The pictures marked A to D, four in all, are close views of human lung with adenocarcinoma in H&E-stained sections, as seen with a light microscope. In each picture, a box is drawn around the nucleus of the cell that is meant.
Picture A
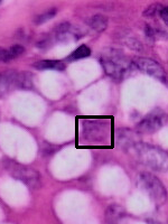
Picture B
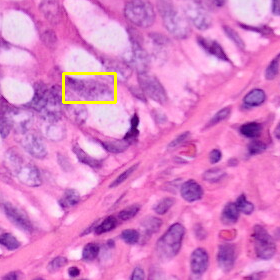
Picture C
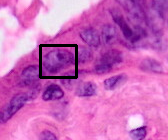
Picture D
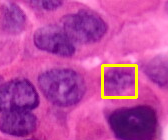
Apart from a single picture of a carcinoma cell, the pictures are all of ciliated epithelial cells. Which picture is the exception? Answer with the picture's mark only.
D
